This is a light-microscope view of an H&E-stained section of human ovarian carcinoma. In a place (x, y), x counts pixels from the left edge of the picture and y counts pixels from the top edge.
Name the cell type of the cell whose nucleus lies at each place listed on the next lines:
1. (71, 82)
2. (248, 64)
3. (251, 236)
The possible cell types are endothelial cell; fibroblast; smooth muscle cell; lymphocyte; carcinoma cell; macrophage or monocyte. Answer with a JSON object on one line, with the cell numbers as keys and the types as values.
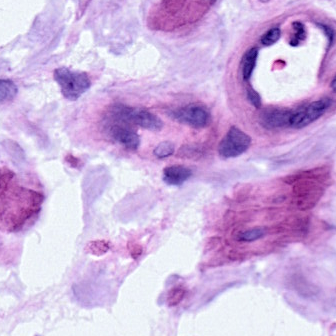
{"1": "fibroblast", "2": "endothelial cell", "3": "smooth muscle cell"}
